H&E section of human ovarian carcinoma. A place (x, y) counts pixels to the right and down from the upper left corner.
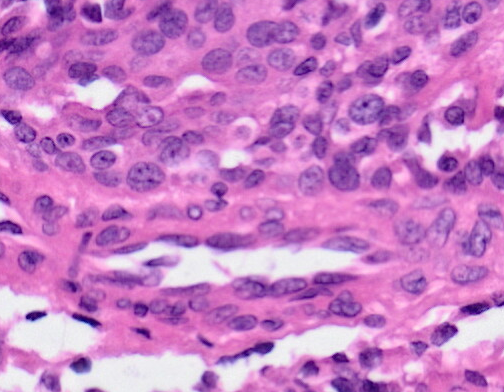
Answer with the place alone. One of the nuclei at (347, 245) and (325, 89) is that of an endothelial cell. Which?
(347, 245)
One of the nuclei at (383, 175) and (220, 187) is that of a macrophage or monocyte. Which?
(220, 187)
